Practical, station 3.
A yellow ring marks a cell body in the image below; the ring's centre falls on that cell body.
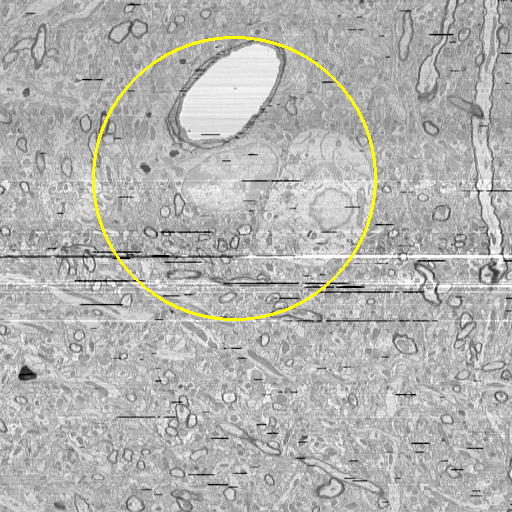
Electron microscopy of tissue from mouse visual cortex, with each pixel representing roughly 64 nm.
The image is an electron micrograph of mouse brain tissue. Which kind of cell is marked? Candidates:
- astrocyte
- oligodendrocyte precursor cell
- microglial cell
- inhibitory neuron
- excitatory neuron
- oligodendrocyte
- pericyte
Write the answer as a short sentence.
The marked cell body is that of an oligodendrocyte.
